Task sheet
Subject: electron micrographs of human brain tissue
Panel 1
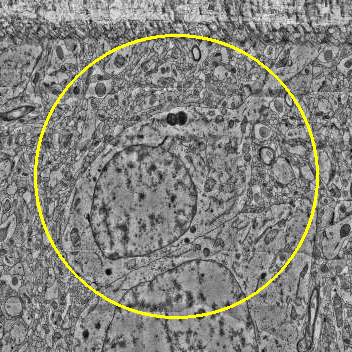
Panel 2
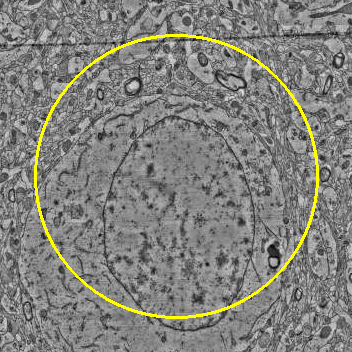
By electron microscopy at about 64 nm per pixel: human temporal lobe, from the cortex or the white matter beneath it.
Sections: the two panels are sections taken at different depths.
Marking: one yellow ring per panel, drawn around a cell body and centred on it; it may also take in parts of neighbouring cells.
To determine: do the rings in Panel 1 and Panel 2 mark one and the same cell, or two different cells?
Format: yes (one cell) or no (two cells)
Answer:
no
